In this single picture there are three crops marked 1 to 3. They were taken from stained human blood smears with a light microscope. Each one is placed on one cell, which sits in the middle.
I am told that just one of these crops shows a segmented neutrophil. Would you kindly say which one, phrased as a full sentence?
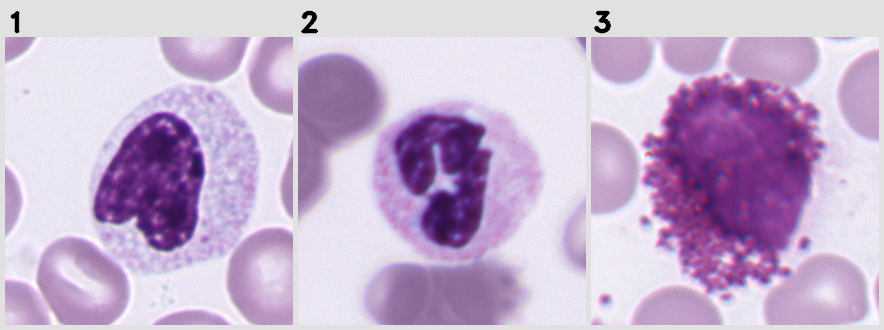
In the set of crops, crop 2 is the one that contains a segmented neutrophil.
